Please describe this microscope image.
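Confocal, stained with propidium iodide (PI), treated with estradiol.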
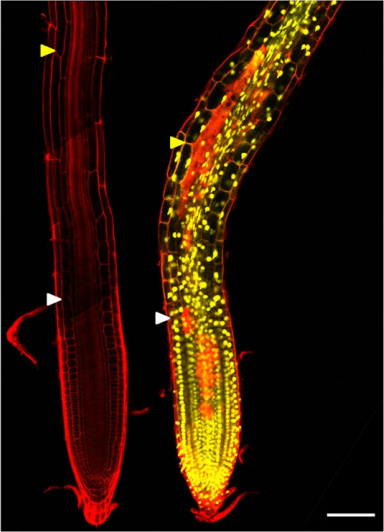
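Near the tip the cells are small and tightly packed in regular files, and farther back they become elongated; a root hair grows out from the side of the left root. The right root is filled with many small yellow dots lying in its cells, with diffuse red patches in its inner tissue, and its files look less regular than those of the left root.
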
